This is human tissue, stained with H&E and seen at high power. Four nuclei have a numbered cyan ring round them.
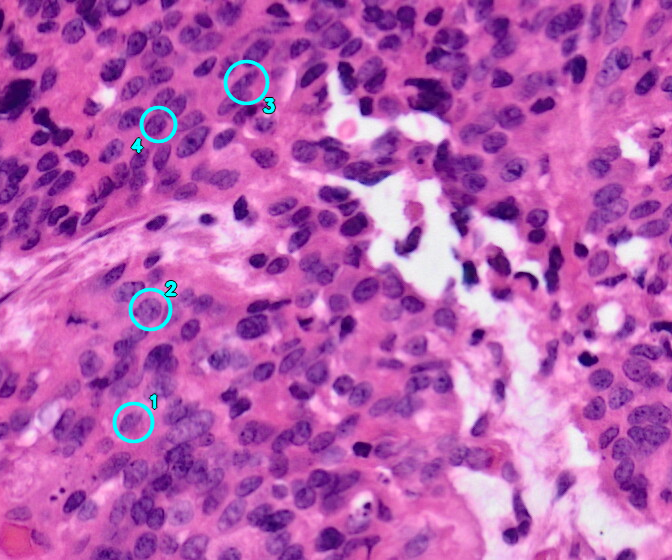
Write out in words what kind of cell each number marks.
Cell 1 is a macrophage or monocyte, cell 2 is a carcinoma cell, cell 3 is a carcinoma cell and cell 4 is a carcinoma cell.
